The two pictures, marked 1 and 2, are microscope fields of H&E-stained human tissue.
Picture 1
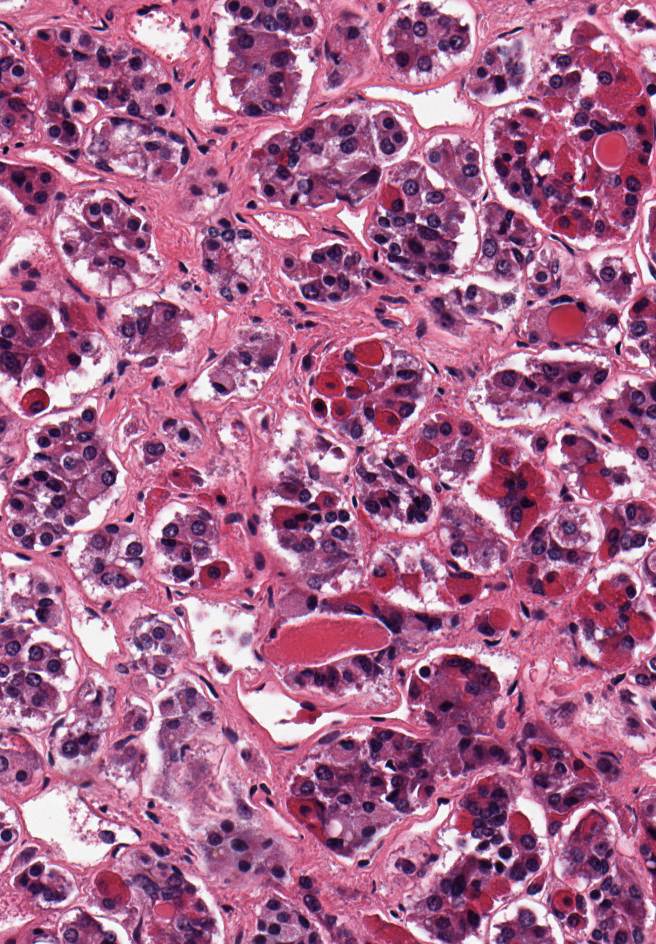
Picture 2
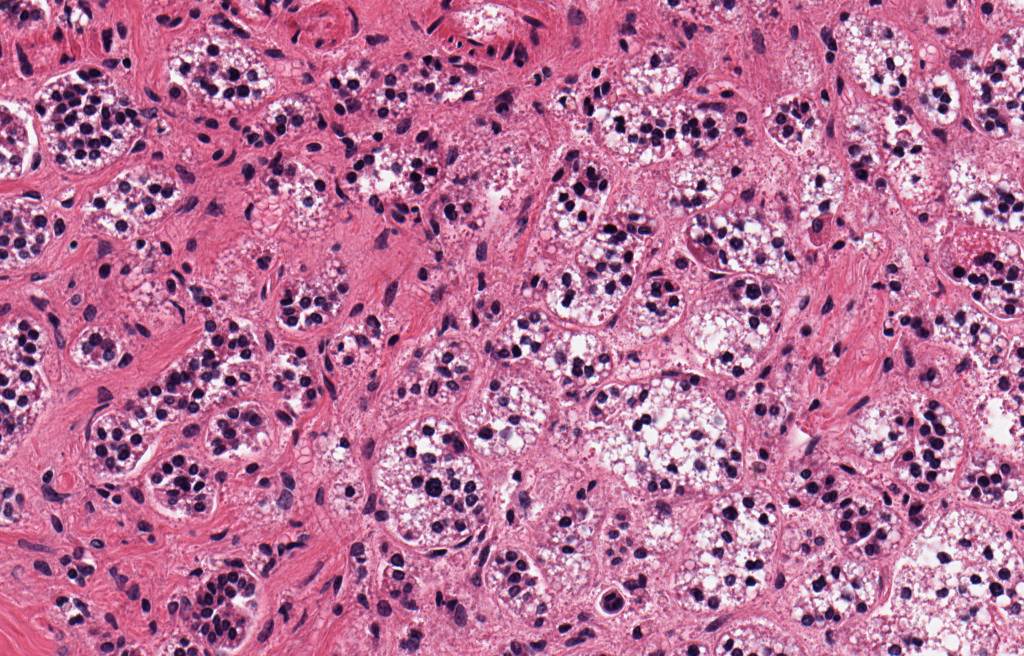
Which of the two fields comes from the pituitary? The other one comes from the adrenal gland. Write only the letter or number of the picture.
1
